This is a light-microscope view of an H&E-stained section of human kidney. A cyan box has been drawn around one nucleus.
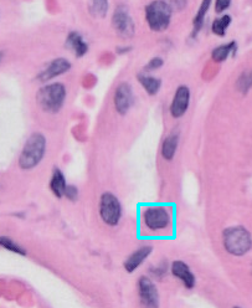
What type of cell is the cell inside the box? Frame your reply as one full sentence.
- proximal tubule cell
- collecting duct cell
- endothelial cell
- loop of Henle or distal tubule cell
The expected answer is simply that the cell inside the box is a collecting duct cell.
